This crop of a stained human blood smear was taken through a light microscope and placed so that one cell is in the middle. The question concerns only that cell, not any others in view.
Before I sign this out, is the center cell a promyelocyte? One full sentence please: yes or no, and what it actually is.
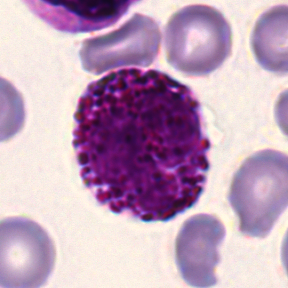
No, the central cell qualifies as a basophil rather than as a promyelocyte.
